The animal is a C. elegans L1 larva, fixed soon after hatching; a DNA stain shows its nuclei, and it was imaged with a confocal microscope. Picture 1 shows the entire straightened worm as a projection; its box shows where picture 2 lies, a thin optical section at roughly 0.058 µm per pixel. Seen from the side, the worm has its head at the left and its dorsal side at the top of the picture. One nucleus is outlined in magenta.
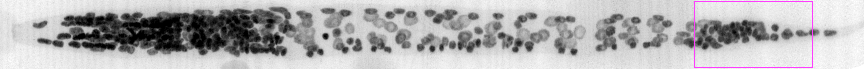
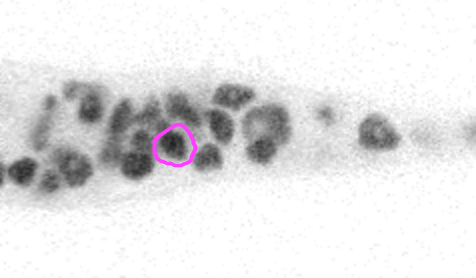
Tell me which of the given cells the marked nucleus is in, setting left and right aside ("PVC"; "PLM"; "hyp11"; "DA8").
PVC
